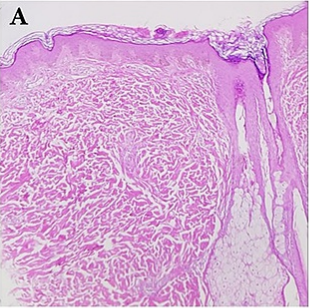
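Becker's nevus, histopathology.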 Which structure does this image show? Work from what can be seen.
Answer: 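Pilar structure. A vertical epithelial sheath runs down from the surface on the right. It opens at the epidermis with a keratin-filled opening and extends deep into the dermis.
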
